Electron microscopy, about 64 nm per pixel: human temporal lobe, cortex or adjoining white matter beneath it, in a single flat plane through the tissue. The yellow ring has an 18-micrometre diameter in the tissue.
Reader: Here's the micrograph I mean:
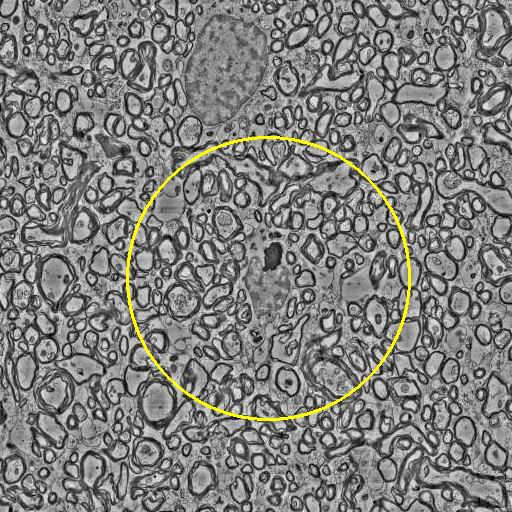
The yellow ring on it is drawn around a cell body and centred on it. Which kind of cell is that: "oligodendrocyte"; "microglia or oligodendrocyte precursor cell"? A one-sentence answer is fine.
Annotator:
The ring is centred on an oligodendrocyte.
